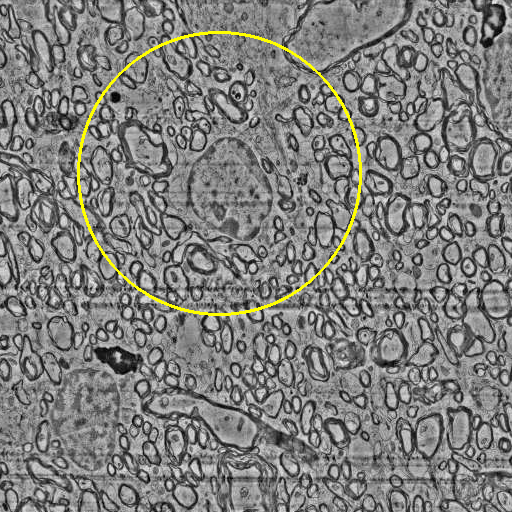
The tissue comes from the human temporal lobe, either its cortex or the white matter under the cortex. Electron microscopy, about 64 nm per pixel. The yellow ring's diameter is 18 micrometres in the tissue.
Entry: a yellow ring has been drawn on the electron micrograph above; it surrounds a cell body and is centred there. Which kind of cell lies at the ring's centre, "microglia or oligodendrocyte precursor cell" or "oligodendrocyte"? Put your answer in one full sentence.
The cell sitting at the ring's centre is a microglial cell or oligodendrocyte precursor cell in the micrograph above.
